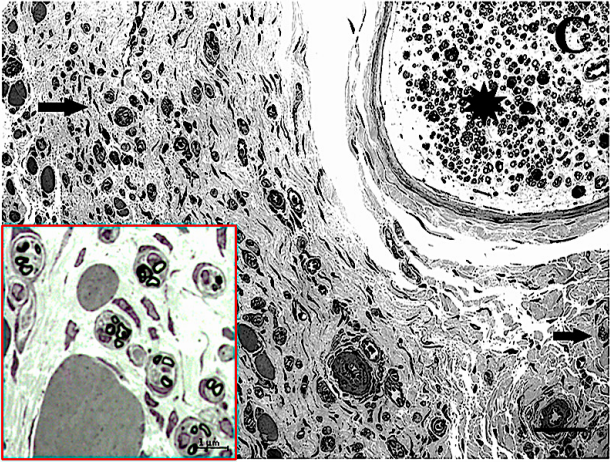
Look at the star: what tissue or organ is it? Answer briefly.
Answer: Nerve area.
